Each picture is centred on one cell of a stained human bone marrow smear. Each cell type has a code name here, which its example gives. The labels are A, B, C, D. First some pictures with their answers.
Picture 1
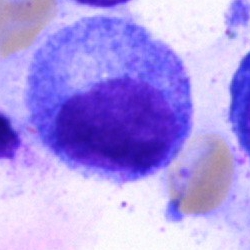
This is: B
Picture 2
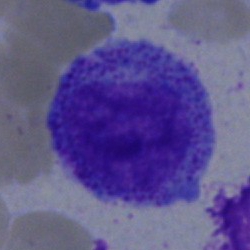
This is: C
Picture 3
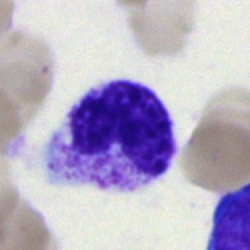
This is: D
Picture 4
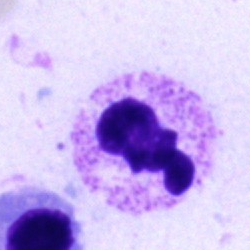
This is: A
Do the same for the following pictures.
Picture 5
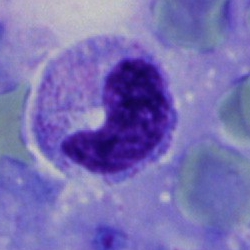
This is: D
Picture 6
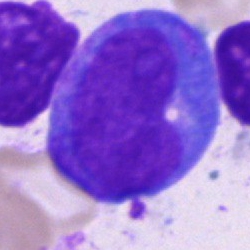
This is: B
